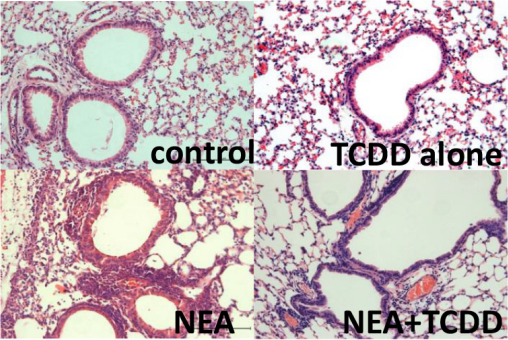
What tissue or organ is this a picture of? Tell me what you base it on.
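Round airways lined by a continuous epithelium. Surrounding thin-walled alveolar spaces in a lace-like network. Blood vessels with red cells beside the airways.
Answer: Lung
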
